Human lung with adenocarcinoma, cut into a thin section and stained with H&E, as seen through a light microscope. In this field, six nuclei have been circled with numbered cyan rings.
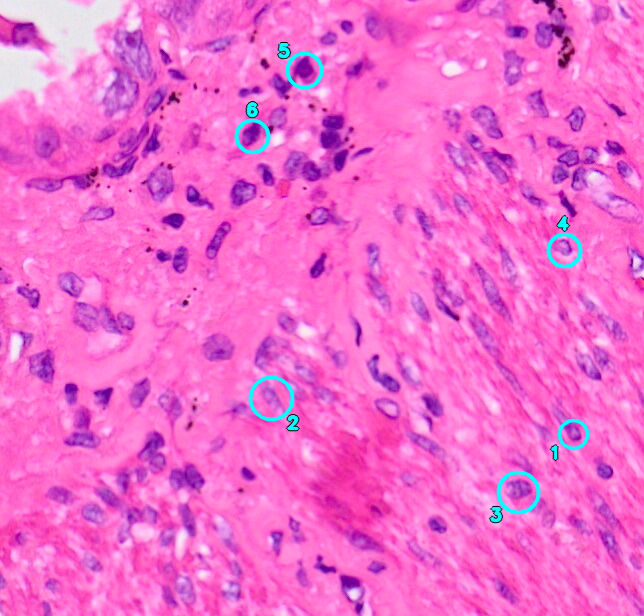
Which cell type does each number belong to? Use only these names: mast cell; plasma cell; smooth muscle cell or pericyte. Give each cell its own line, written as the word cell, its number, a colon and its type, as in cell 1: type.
cell 1: smooth muscle cell or pericyte
cell 2: smooth muscle cell or pericyte
cell 3: mast cell
cell 4: smooth muscle cell or pericyte
cell 5: plasma cell
cell 6: plasma cell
